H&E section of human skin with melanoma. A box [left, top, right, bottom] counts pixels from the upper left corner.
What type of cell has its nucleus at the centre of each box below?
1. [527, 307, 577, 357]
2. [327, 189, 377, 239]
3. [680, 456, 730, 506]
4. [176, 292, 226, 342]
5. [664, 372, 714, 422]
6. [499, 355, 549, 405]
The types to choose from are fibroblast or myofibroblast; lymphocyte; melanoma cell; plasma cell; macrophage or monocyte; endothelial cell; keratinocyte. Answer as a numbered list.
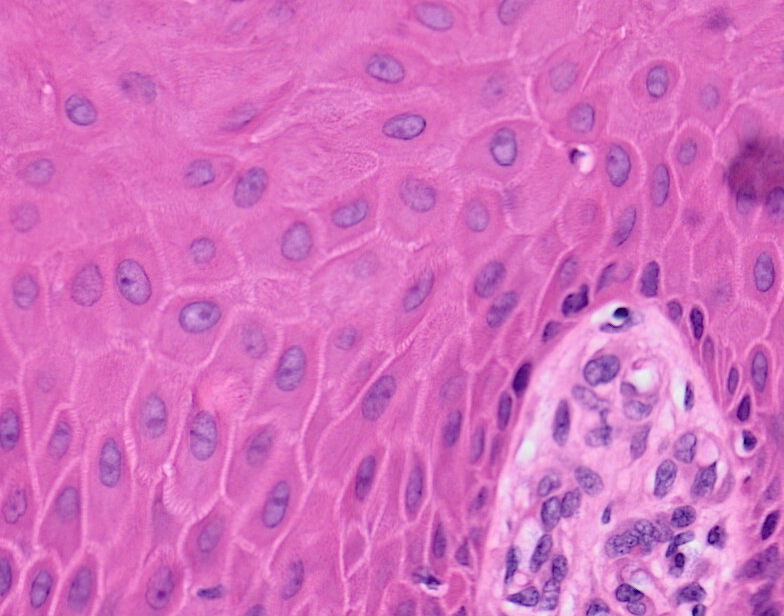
1. keratinocyte
2. keratinocyte
3. endothelial cell
4. keratinocyte
5. fibroblast or myofibroblast
6. keratinocyte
